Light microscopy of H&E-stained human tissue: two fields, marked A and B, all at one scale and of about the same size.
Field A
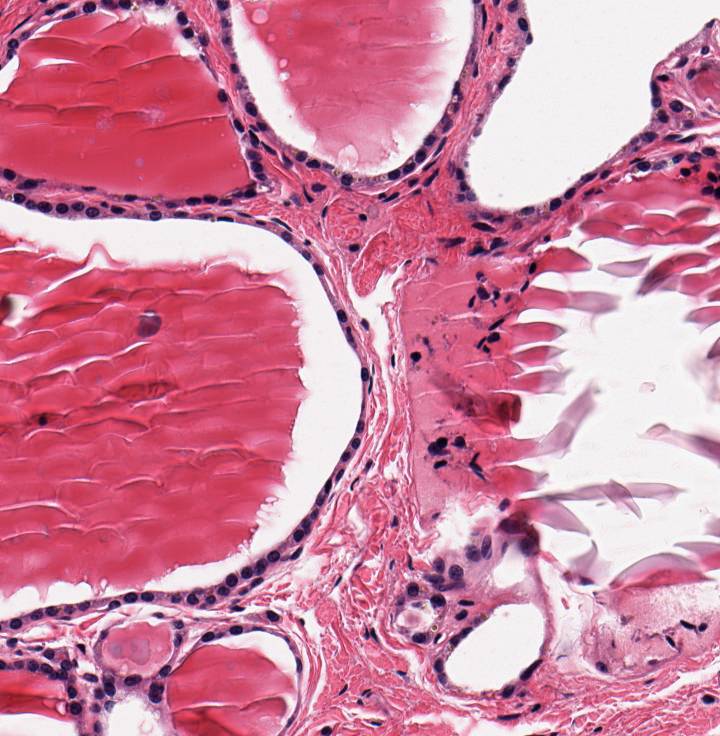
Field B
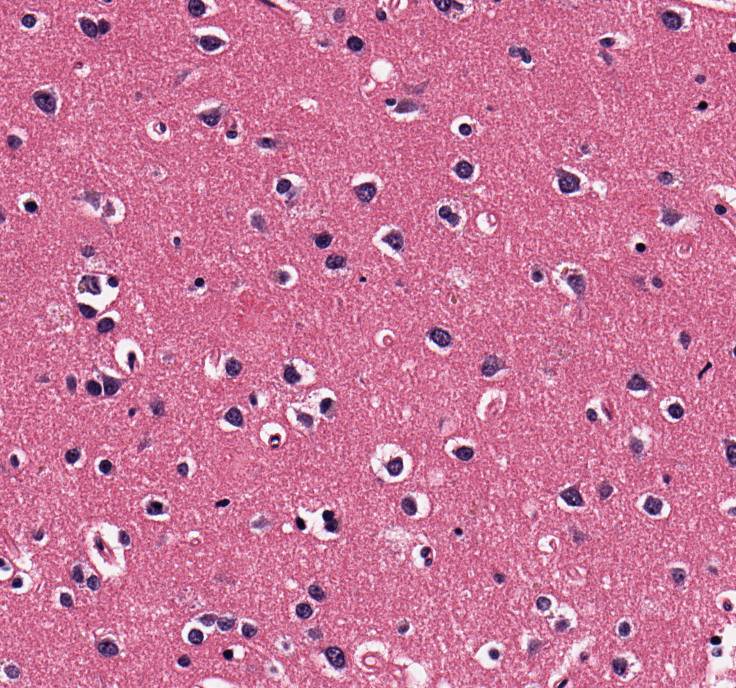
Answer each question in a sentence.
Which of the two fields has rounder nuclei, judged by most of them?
The nuclei are rounder in field B.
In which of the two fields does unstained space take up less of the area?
Less of field B is empty and white.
